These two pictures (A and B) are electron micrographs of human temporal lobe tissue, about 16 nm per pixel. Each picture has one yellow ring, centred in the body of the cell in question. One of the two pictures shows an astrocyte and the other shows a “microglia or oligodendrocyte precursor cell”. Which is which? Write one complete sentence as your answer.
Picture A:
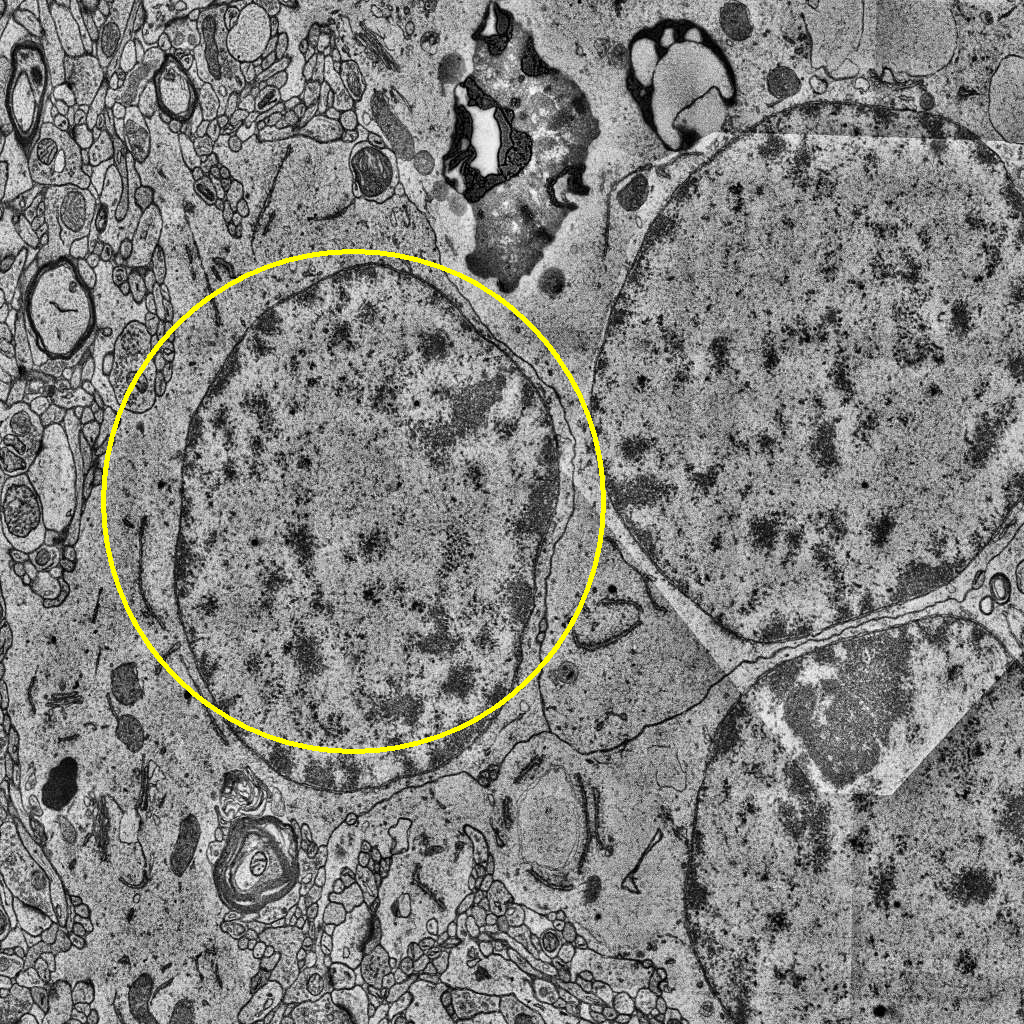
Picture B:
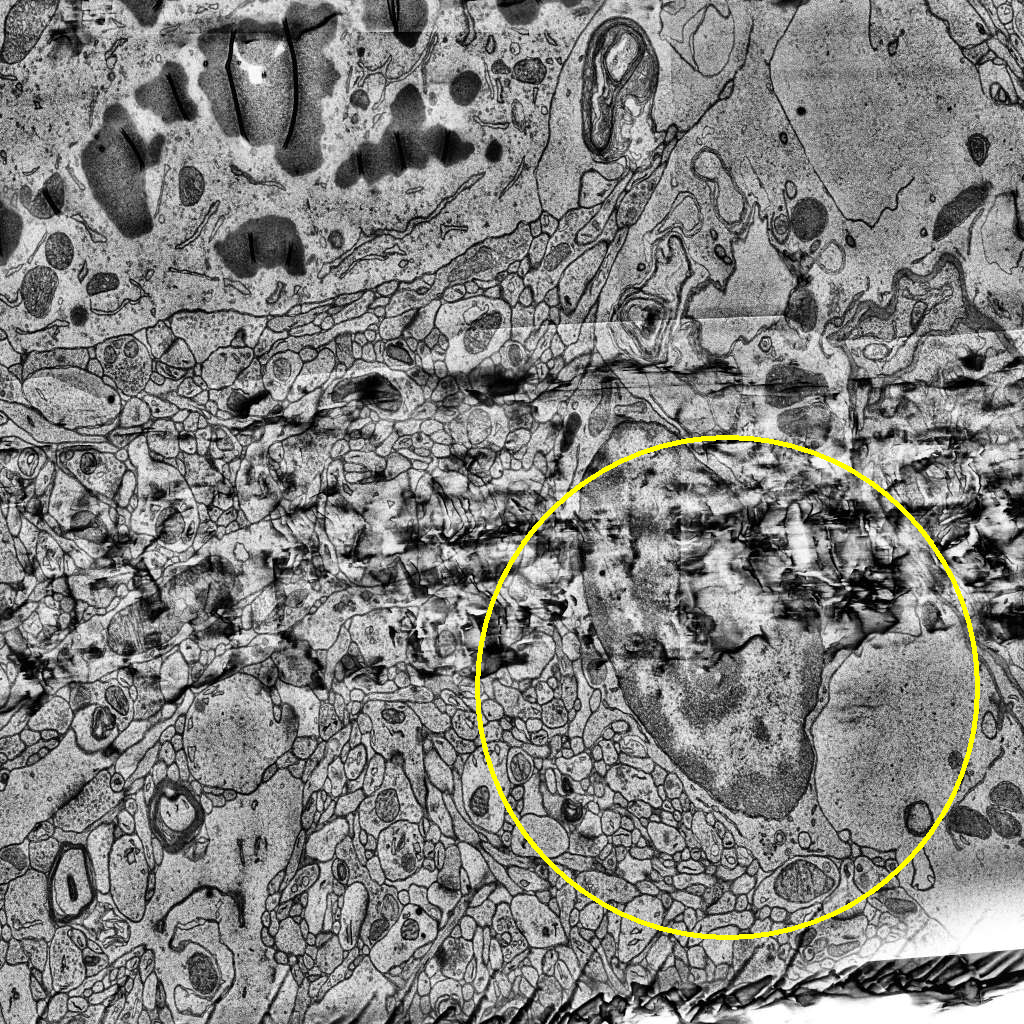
It is picture A that shows an astrocyte, and picture B that shows a “microglia or oligodendrocyte precursor cell”.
